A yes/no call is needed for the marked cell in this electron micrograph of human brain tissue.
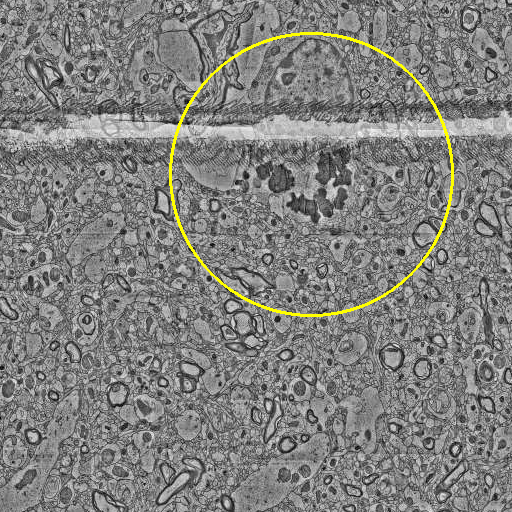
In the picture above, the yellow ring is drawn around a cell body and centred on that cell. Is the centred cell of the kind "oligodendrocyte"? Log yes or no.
yes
